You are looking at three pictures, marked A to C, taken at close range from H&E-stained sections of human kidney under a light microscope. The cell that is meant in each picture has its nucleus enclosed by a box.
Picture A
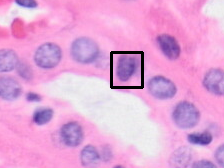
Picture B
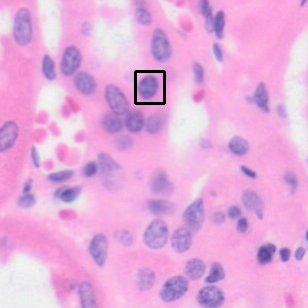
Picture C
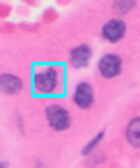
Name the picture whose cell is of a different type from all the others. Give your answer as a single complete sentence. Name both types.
Picture C is the odd one out: it shows a “loop of Henle or distal tubule cell”, while the others show collecting duct cells.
